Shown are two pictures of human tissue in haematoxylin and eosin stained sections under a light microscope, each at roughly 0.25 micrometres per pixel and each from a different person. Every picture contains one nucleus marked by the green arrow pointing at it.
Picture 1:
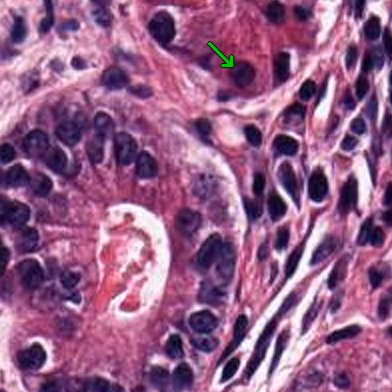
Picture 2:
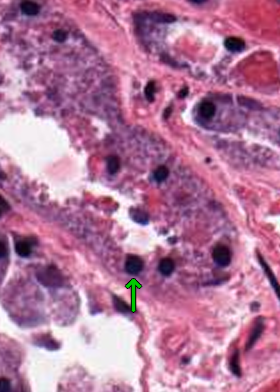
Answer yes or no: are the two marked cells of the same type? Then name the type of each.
No, the first is a parietal cell and the second a chief cell.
